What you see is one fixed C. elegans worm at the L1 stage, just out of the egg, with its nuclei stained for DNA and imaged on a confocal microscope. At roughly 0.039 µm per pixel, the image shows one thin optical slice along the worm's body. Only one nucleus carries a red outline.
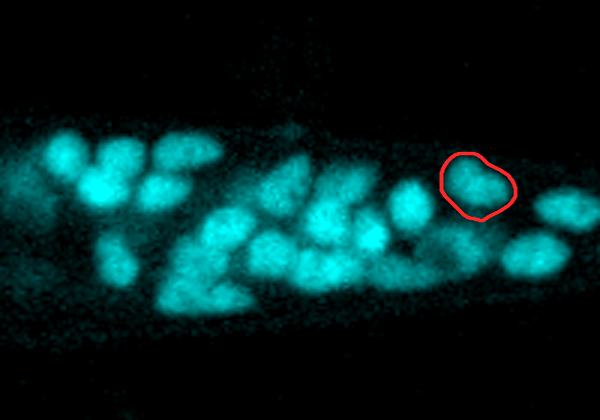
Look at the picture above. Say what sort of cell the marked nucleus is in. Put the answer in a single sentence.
The marked nucleus is that of a hypodermal cell (hyp).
